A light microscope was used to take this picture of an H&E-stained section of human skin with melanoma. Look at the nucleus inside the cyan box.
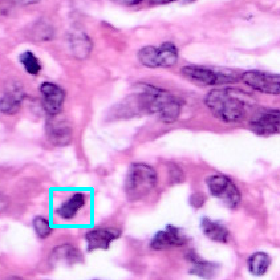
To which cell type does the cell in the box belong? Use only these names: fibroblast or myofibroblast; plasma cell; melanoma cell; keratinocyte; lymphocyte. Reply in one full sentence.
The classification of the cell in the box is as a lymphocyte.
